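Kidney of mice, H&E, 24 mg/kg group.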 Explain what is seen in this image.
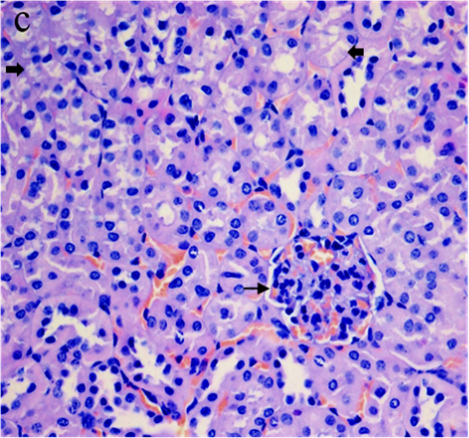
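This is renal cortex with closely packed tubules around a glomerulus in the lower middle of the field. The tubular epithelial cells have pale granular pink cytoplasm with small clear spaces and round dark purple nuclei. The glomerular tuft is crowded with dark nuclei and fills its capsule, leaving only a narrow clear rim. Small red-filled capillaries lie between the tubules.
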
